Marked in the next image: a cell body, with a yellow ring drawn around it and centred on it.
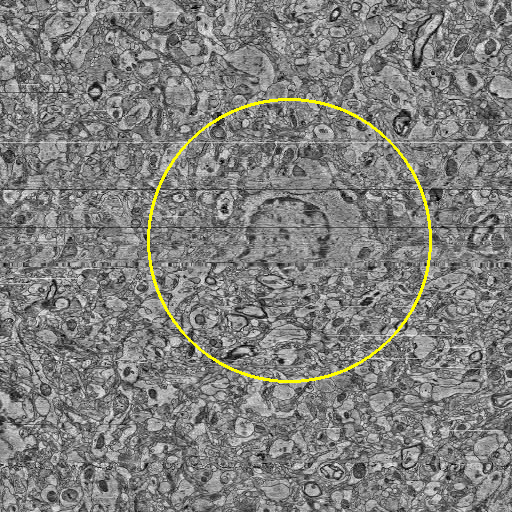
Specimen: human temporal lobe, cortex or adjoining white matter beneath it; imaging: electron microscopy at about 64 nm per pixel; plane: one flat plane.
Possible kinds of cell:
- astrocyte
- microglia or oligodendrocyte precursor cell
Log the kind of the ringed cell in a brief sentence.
The ringed cell body is that of a microglial cell or oligodendrocyte precursor cell.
